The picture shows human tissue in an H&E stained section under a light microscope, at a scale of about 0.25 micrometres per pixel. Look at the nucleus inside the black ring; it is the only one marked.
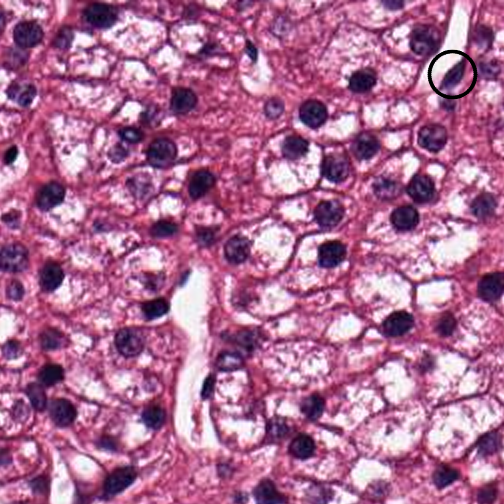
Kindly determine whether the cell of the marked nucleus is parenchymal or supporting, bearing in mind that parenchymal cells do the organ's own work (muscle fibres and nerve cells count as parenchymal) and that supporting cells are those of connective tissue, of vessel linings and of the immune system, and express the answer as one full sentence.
The indicated nucleus in this section belongs to a supporting cell.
